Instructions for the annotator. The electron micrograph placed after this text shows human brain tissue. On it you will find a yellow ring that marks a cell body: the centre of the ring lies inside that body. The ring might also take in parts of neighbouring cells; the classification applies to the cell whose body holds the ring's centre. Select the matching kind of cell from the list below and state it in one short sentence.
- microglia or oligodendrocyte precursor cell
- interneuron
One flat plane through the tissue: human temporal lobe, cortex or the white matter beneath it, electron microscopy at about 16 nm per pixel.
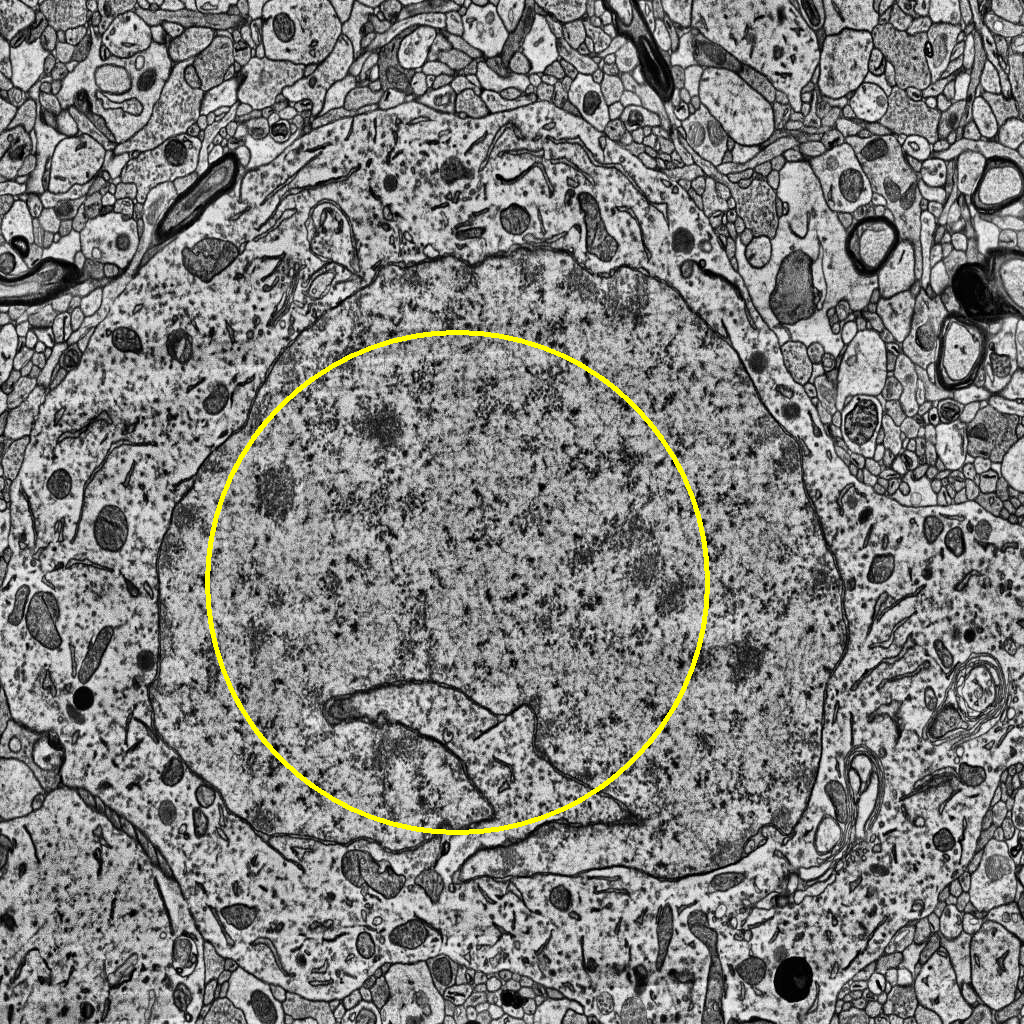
The centre of the ring lies in the cell body of an interneuron.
